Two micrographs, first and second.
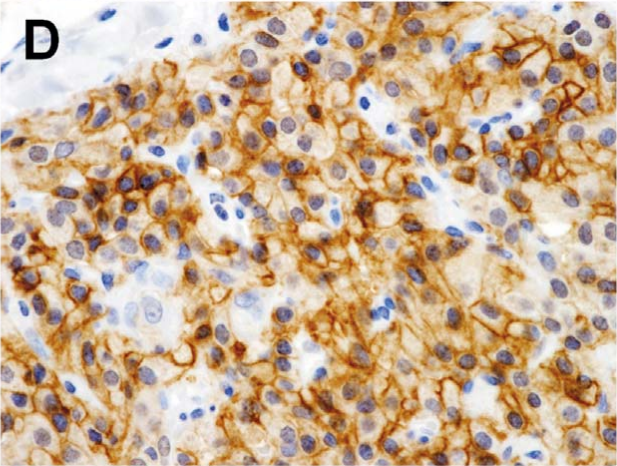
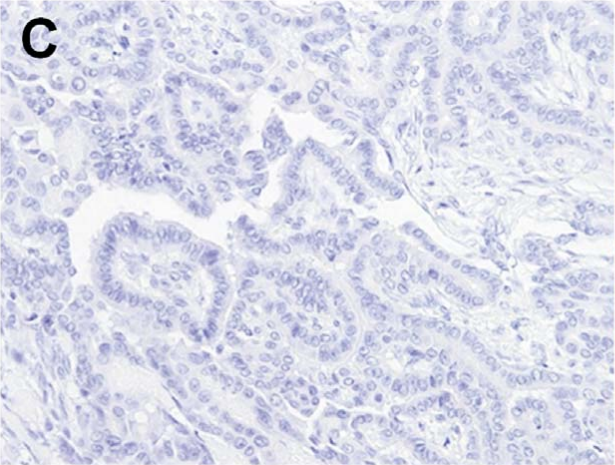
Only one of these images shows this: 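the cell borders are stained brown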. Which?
The first image.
